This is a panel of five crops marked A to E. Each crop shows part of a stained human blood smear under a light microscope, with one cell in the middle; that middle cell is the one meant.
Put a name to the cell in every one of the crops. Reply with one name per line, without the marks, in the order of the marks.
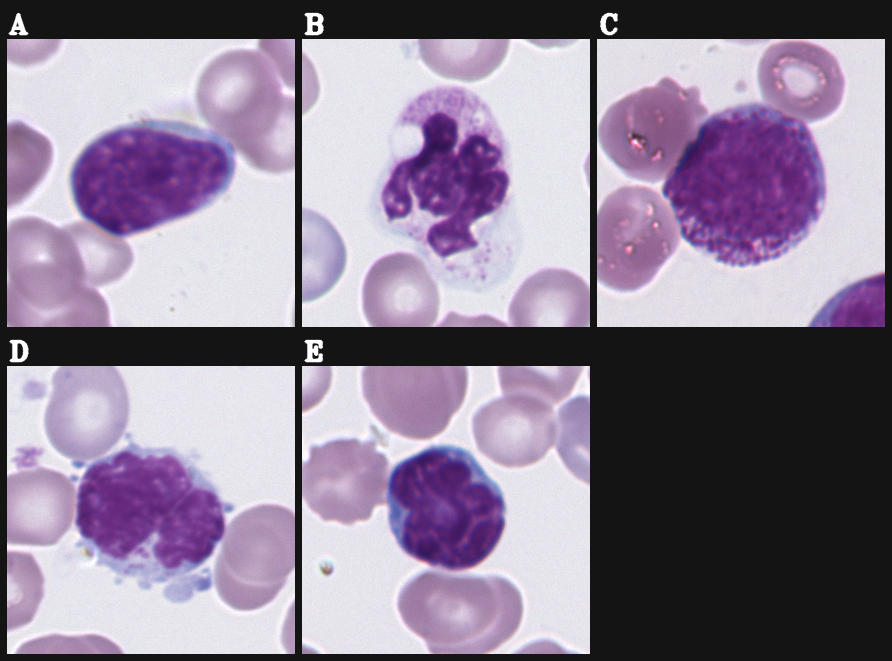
myeloblast
segmented neutrophil
myelocyte
large granular lymphocyte
typical lymphocyte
